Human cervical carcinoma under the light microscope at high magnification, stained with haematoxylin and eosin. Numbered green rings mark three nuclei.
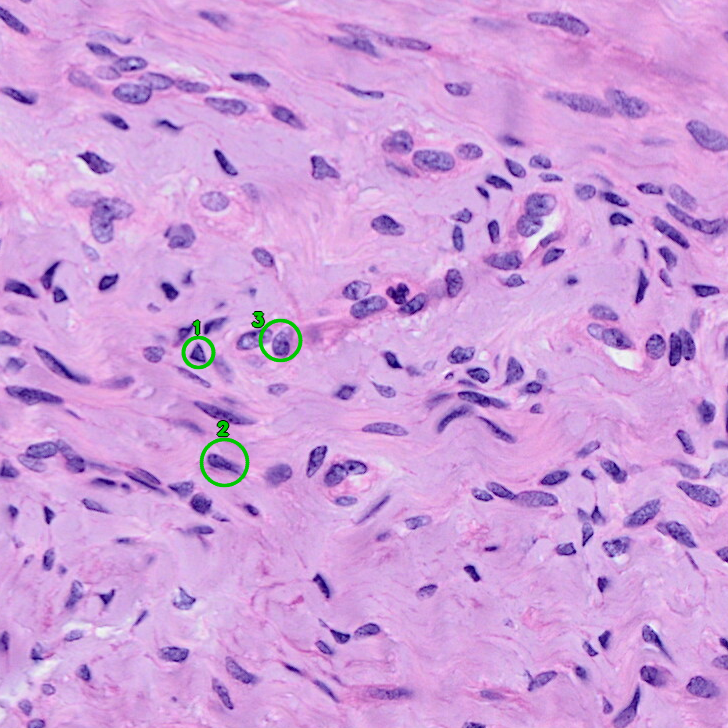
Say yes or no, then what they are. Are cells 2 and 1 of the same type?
Yes, the cell marked 2 and the cell marked 1 are both fibroblasts.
